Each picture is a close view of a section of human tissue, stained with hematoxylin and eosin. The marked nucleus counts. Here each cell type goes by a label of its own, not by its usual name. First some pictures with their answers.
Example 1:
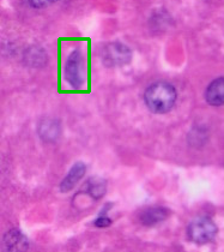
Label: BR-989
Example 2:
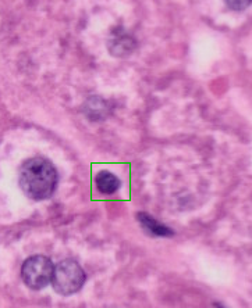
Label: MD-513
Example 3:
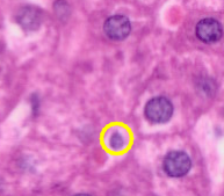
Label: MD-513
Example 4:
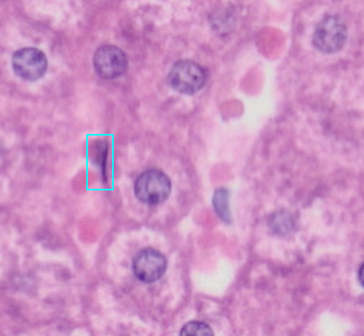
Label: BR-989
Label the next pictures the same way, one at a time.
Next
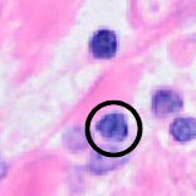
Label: MD-513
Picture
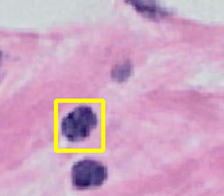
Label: MD-513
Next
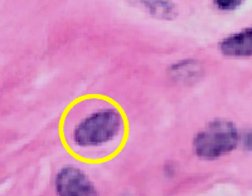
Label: MD-513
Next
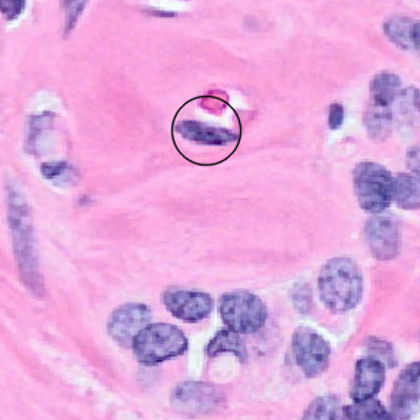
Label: BR-989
